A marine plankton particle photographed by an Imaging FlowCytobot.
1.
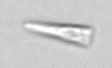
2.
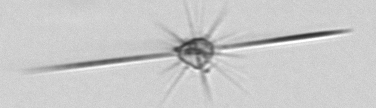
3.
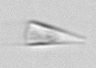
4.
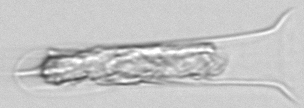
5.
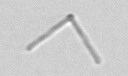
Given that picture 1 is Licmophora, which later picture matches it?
3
